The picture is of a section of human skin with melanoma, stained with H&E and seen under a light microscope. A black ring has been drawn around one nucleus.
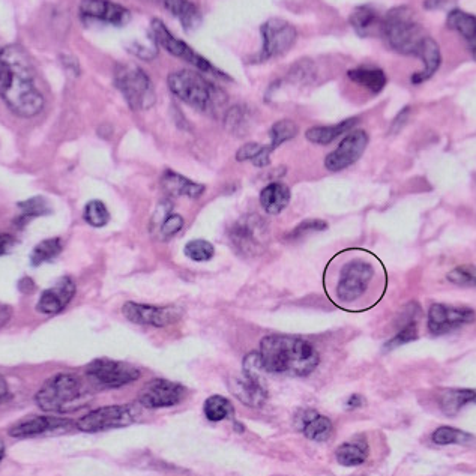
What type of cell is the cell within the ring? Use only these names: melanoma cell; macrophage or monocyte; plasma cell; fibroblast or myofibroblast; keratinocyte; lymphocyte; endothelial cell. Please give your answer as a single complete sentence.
In the tissue under study, the cell within the ring is a macrophage or monocyte.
